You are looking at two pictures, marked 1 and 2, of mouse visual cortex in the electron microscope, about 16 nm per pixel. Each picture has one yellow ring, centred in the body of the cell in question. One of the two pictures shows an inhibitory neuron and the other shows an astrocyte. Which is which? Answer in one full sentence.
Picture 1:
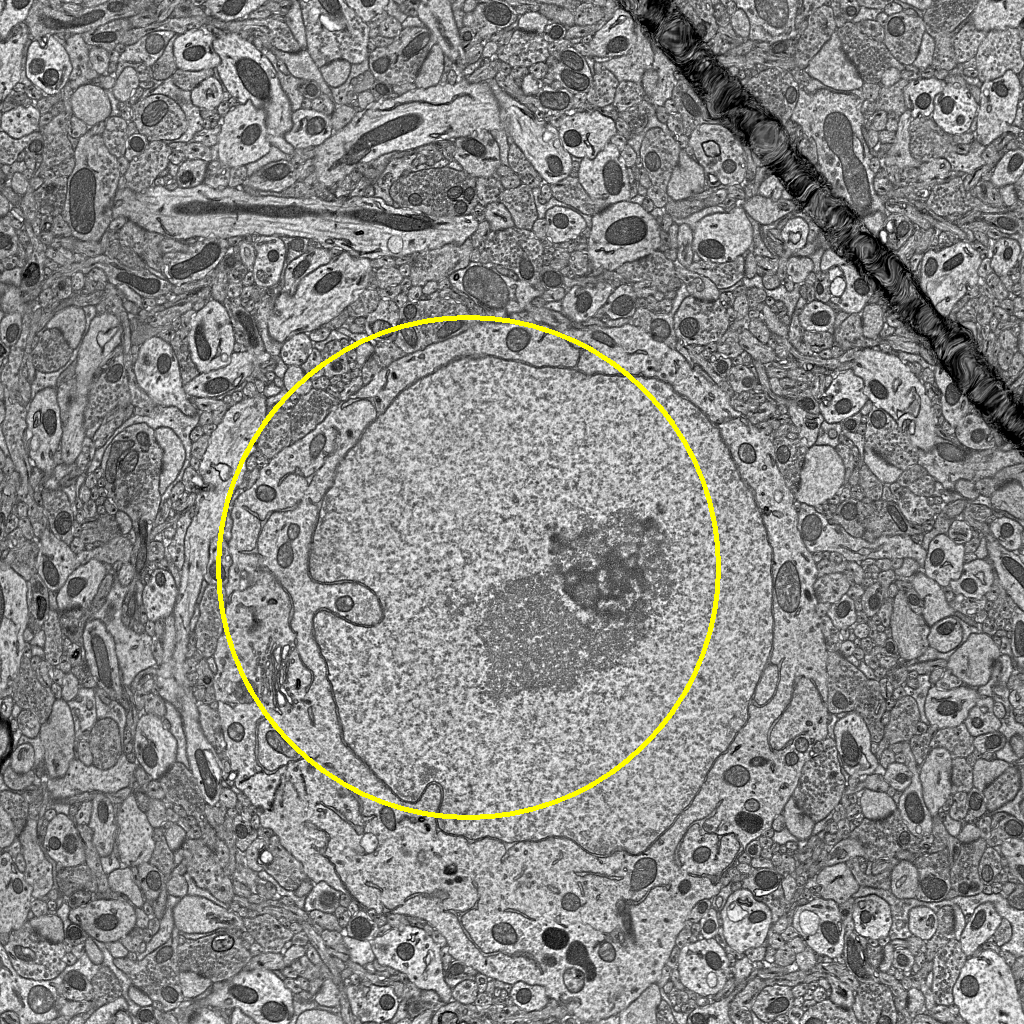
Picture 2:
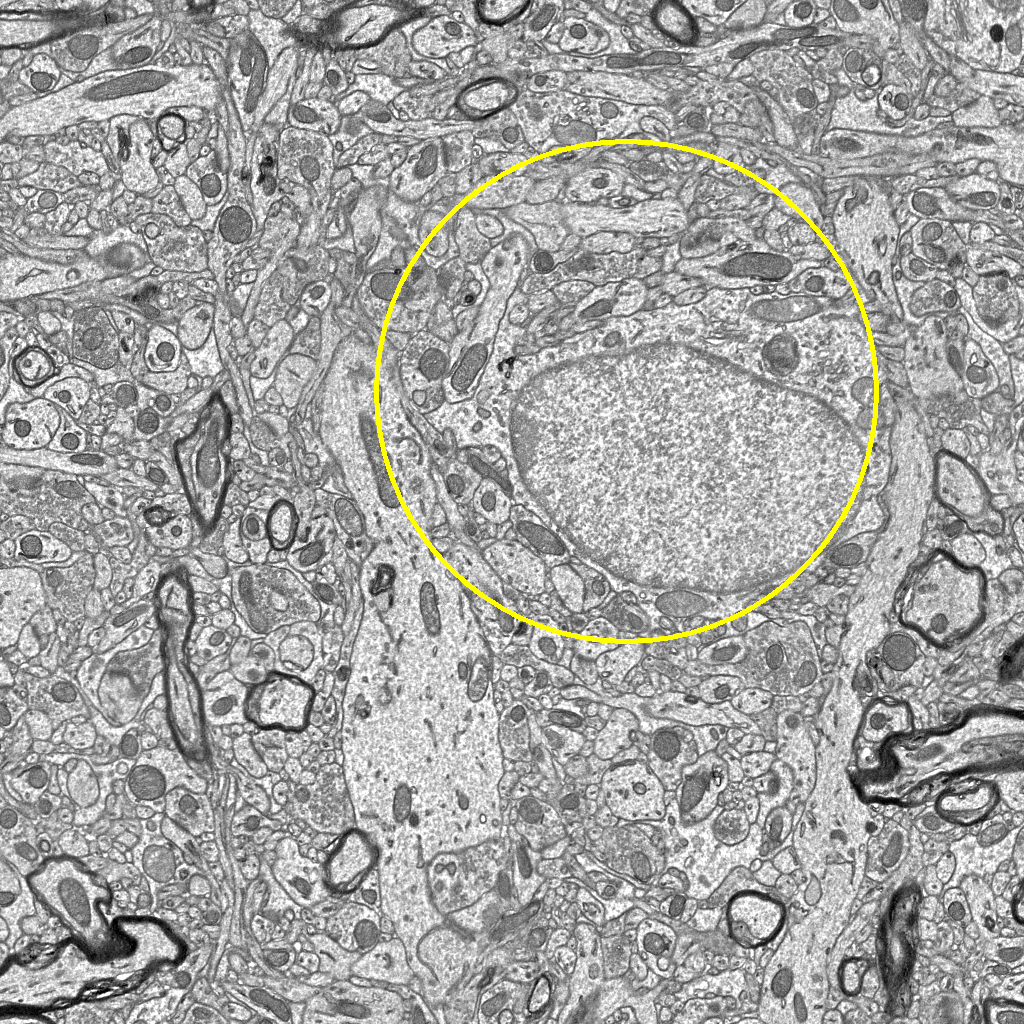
In picture 1 the cell is an inhibitory neuron; in picture 2, an astrocyte.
